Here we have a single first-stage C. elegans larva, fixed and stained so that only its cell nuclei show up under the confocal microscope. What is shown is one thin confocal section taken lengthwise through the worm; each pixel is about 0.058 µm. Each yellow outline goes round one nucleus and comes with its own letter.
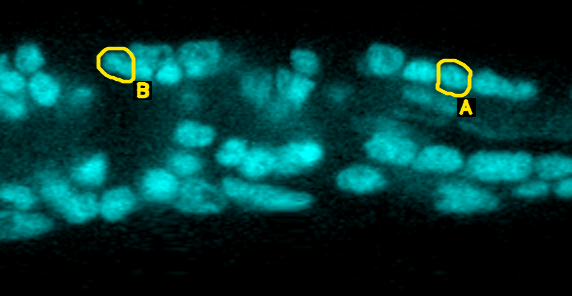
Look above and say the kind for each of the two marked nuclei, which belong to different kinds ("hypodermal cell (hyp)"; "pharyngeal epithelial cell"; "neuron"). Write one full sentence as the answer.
A is in a hypodermal cell (hyp) and B is in a neuron.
